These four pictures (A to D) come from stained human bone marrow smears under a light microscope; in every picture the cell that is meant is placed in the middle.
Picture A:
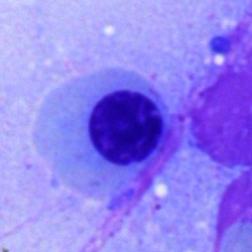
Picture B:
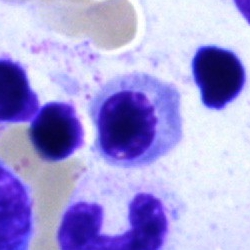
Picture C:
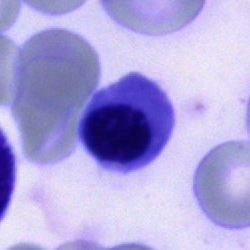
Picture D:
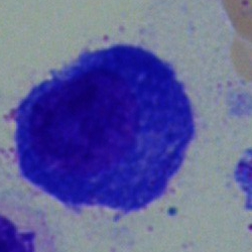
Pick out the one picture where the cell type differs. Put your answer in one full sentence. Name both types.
Picture D differs, because its cell is a plasma cell and the rest are erythroblasts.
